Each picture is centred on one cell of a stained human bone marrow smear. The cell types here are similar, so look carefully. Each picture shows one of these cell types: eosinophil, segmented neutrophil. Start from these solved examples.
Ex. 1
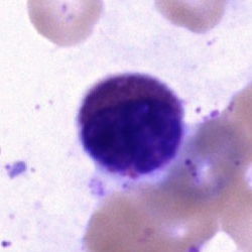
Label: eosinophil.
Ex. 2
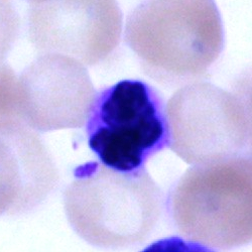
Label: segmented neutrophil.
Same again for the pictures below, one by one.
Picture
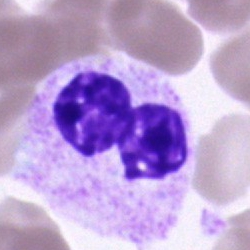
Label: segmented neutrophil.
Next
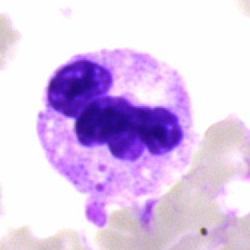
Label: segmented neutrophil.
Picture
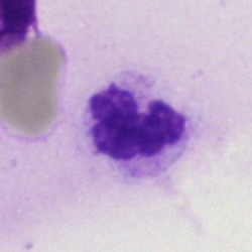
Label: segmented neutrophil.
